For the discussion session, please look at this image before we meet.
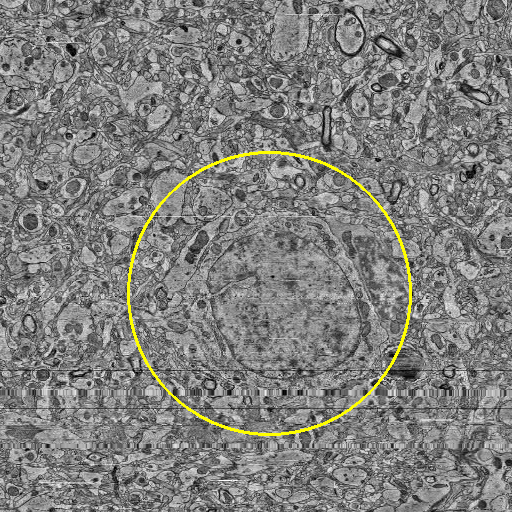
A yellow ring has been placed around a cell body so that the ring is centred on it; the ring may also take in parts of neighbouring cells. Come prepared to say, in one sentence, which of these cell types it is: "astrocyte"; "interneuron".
The cell centred in the ring is an interneuron.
